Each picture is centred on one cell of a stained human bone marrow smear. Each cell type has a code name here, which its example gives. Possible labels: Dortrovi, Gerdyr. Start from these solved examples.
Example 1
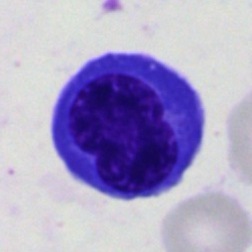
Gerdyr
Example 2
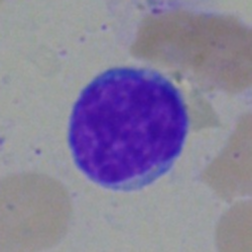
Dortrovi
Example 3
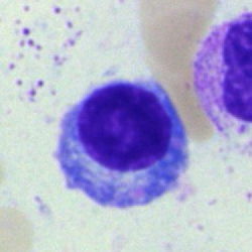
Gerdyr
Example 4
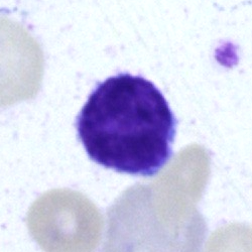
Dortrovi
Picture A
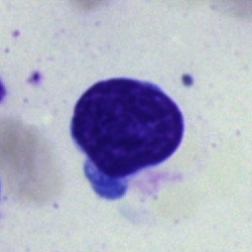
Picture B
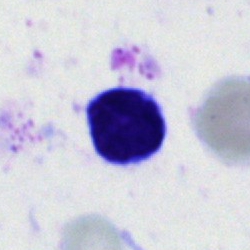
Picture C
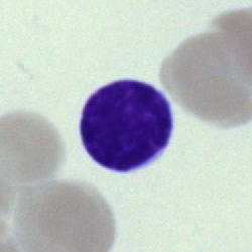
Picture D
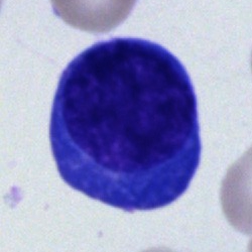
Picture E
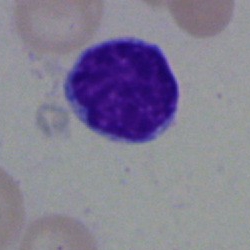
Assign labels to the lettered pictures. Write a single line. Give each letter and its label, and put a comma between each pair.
A Dortrovi, B Dortrovi, C Dortrovi, D Gerdyr, E Dortrovi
